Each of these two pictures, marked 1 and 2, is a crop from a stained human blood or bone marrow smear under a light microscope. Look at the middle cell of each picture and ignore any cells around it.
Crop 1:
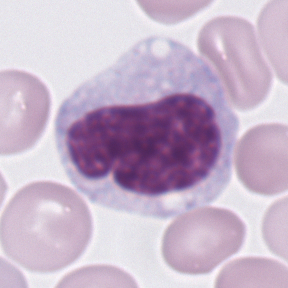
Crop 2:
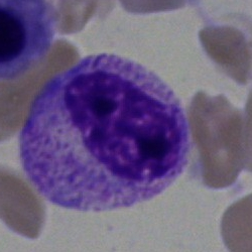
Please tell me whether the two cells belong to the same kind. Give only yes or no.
no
